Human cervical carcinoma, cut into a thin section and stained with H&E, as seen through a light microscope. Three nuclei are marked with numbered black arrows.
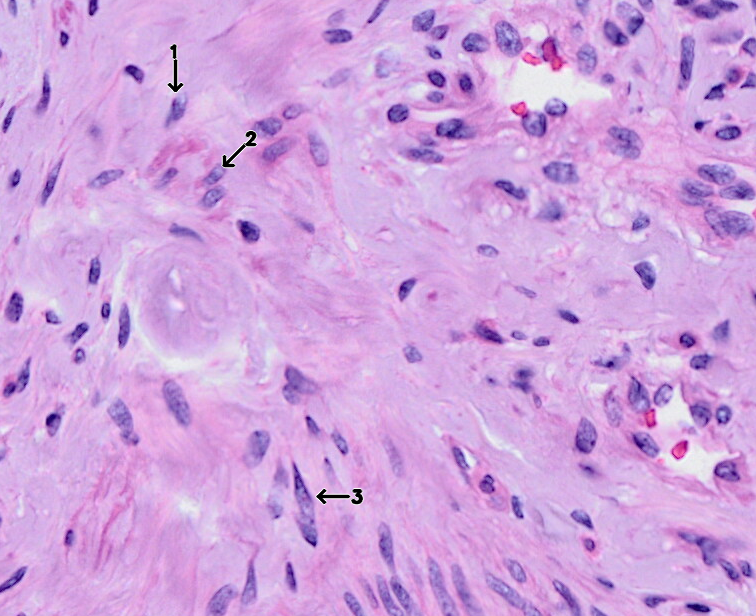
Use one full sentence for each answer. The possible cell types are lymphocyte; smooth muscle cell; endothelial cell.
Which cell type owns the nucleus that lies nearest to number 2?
Closest to number 2 lies the nucleus of a smooth muscle cell.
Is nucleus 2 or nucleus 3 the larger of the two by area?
Number 3 is larger; its area is about 3 times that of number 2.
